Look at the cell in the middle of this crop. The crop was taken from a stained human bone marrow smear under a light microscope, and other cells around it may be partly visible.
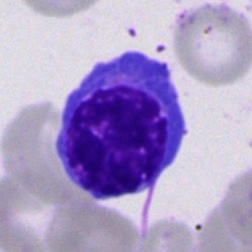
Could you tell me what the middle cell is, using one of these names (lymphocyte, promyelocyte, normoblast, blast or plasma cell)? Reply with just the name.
normoblast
